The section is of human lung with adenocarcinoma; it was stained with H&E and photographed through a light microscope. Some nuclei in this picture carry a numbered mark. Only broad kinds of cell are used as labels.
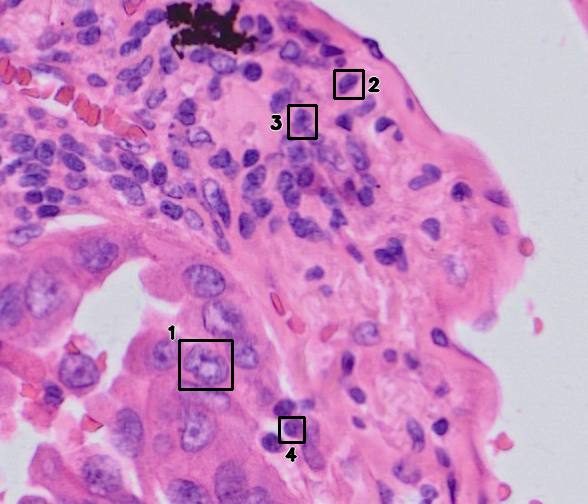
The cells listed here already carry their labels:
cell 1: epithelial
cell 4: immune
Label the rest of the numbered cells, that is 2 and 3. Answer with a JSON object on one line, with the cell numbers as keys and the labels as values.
{"2": "immune", "3": "immune"}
